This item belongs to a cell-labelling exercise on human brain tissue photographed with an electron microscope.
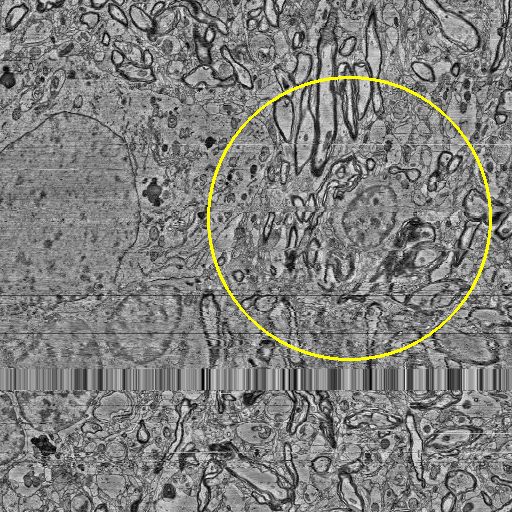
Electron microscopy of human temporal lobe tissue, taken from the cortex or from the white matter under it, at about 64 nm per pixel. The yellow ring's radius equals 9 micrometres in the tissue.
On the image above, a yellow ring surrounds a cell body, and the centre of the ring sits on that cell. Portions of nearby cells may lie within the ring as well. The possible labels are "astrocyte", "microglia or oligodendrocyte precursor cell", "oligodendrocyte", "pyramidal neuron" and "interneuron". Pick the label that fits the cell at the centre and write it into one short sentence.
This cell should be labelled as an oligodendrocyte.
